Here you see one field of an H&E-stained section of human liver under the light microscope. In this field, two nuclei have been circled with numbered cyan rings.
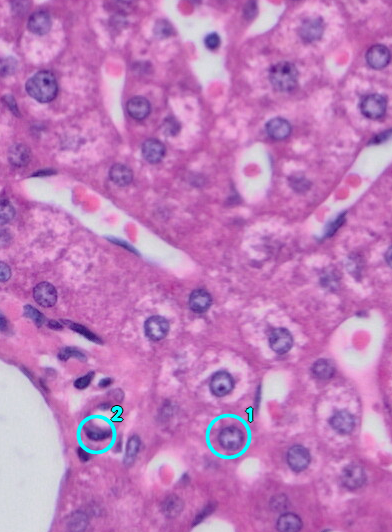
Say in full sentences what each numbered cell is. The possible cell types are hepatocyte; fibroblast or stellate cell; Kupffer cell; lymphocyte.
Cell 1 is a hepatocyte. Cell 2 is a fibroblast or stellate cell.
